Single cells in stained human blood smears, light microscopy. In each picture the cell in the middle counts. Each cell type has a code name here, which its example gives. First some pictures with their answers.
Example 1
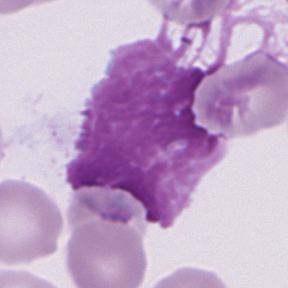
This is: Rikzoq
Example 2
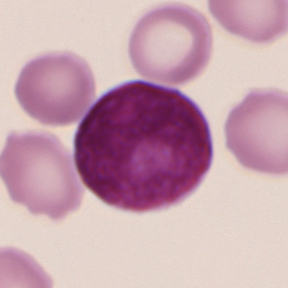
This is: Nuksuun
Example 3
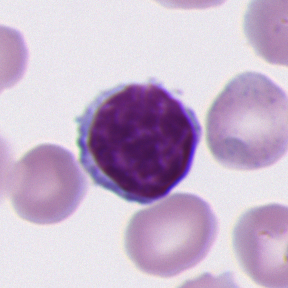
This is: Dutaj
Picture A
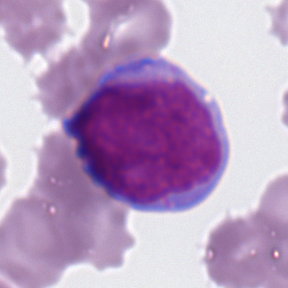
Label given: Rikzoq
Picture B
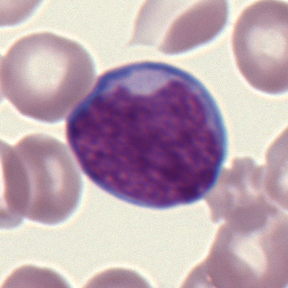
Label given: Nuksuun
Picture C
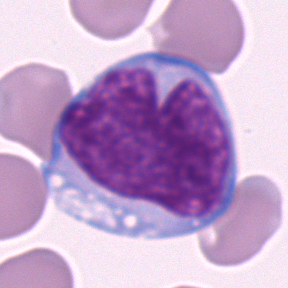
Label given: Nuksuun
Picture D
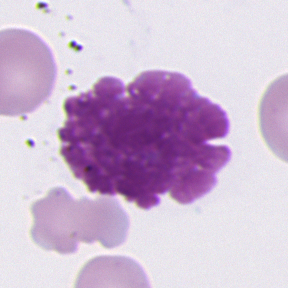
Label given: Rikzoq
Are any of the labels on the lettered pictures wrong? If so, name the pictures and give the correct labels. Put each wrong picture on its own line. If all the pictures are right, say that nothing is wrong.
A is labelled Rikzoq; correct label: Nuksuun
